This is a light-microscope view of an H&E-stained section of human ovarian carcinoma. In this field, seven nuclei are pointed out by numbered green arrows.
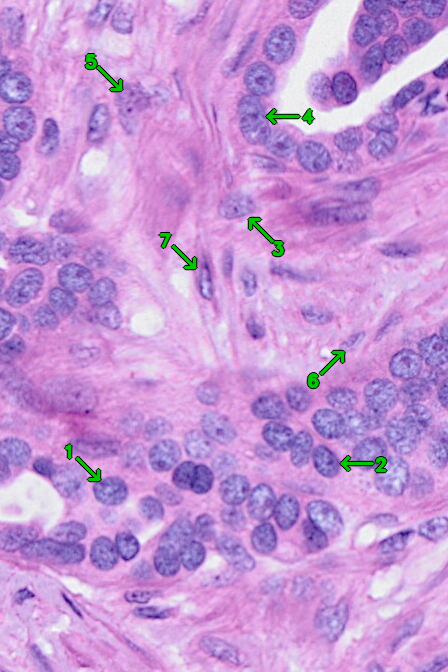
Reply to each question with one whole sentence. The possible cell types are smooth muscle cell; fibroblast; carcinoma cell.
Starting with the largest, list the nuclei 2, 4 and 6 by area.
Going from the biggest nucleus down to the smallest gives 4, 2, 6.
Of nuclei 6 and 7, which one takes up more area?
Nucleus 7 is the larger one, covering about 2.5 times the area of nucleus 6.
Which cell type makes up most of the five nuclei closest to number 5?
Around number 5, most of the five nearest nuclei are those of fibroblasts.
